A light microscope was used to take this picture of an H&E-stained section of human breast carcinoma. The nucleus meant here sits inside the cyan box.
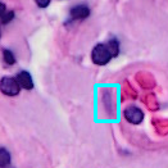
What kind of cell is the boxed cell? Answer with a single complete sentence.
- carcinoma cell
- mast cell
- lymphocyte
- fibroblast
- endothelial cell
As to its cell type, the boxed cell is an endothelial cell.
